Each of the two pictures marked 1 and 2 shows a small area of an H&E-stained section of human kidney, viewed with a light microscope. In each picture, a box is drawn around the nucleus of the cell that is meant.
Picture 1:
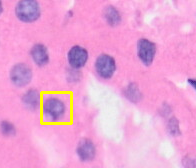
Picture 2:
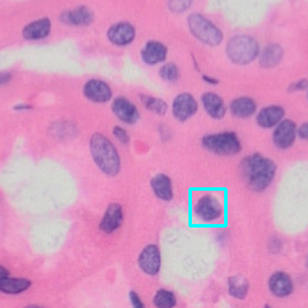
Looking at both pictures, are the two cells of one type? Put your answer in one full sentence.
Yes, the two pictures both show “loop of Henle or distal tubule cells”.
